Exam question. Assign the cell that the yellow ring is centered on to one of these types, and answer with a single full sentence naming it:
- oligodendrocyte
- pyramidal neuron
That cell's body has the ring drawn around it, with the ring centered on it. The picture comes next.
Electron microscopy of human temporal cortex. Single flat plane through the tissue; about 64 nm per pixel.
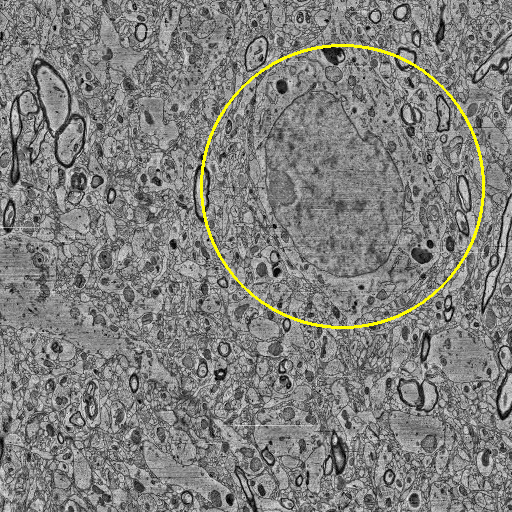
In the micrograph, the cell the yellow ring is centered on is a pyramidal neuron.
